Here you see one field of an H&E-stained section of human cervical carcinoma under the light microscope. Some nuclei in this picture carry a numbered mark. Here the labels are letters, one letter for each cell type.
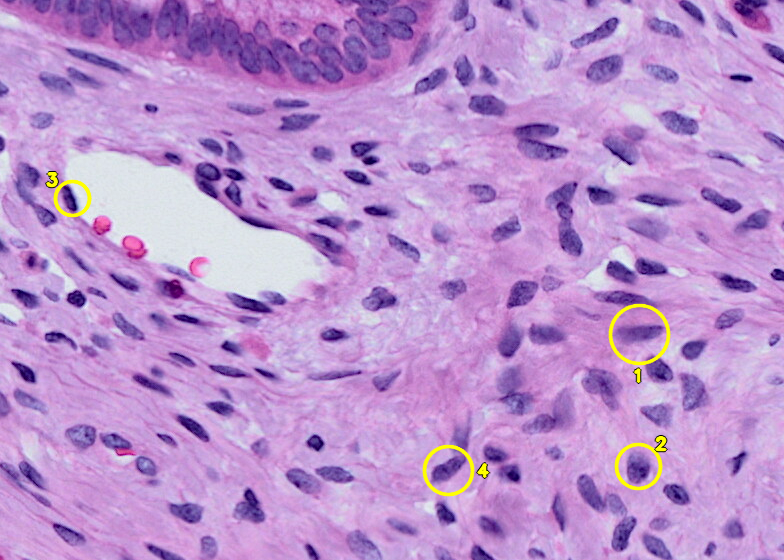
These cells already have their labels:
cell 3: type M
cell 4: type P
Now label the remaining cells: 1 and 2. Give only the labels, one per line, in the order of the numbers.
type P
type P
